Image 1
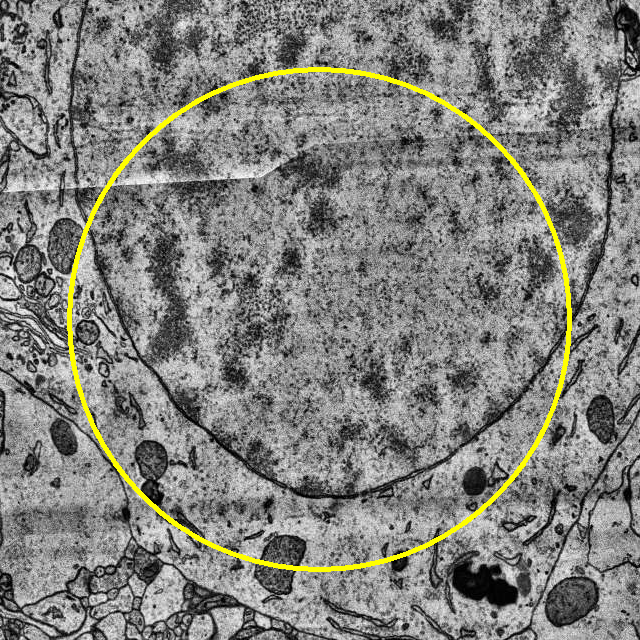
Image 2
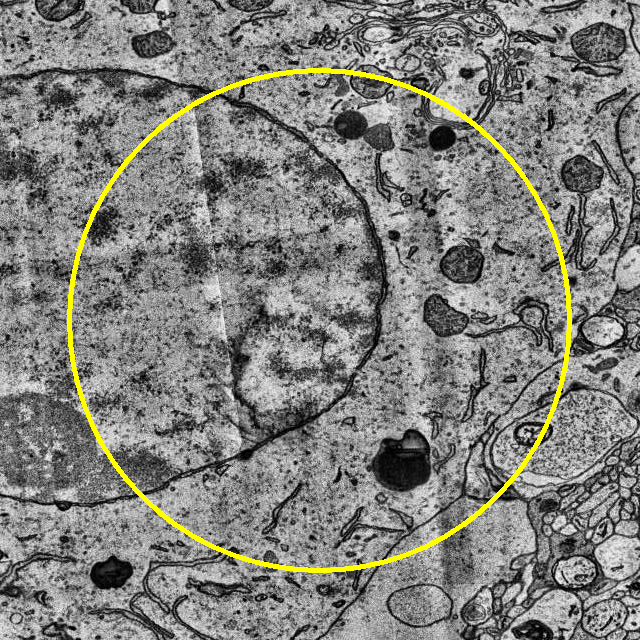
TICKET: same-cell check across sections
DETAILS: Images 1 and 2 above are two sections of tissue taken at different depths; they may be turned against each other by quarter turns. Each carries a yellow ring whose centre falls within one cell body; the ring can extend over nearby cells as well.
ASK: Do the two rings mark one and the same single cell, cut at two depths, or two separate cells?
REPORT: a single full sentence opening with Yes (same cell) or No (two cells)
Yes, the same individual cell is enclosed by both rings.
